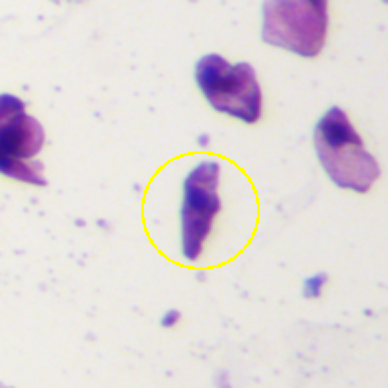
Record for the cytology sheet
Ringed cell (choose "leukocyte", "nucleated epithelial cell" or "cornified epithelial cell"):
nucleated epithelial cell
